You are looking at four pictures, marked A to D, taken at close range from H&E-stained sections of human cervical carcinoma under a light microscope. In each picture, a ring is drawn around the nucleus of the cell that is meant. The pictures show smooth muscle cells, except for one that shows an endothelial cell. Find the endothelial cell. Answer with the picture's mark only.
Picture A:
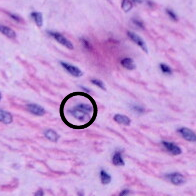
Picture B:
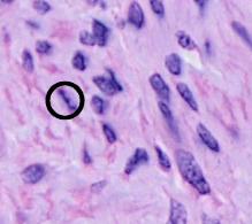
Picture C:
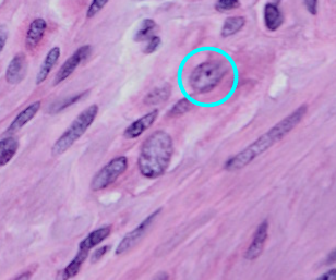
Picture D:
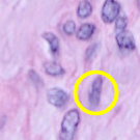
C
